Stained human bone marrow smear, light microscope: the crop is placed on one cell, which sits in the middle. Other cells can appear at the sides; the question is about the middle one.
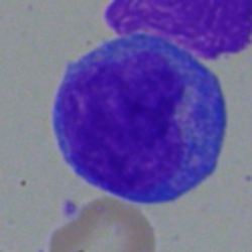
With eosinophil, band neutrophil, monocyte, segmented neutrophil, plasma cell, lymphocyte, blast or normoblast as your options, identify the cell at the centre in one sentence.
Here the cell in the middle is a blast.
